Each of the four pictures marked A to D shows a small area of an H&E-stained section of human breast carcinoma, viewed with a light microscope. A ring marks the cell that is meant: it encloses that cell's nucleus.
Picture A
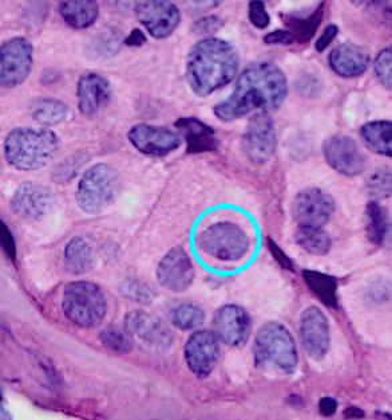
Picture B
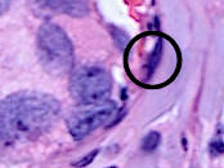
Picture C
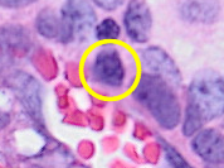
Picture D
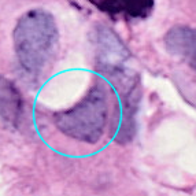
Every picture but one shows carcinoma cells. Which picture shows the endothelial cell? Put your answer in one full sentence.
The picture with the endothelial cell is B.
